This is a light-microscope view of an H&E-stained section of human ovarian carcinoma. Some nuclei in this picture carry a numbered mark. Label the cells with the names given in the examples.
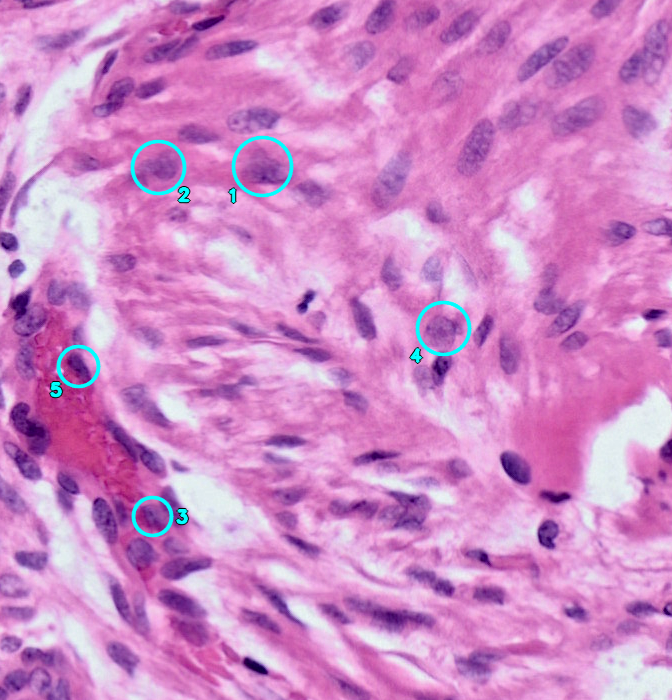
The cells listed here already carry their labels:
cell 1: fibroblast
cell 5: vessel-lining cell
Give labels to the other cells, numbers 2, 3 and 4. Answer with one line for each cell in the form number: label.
2: fibroblast
3: vessel-lining cell
4: fibroblast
